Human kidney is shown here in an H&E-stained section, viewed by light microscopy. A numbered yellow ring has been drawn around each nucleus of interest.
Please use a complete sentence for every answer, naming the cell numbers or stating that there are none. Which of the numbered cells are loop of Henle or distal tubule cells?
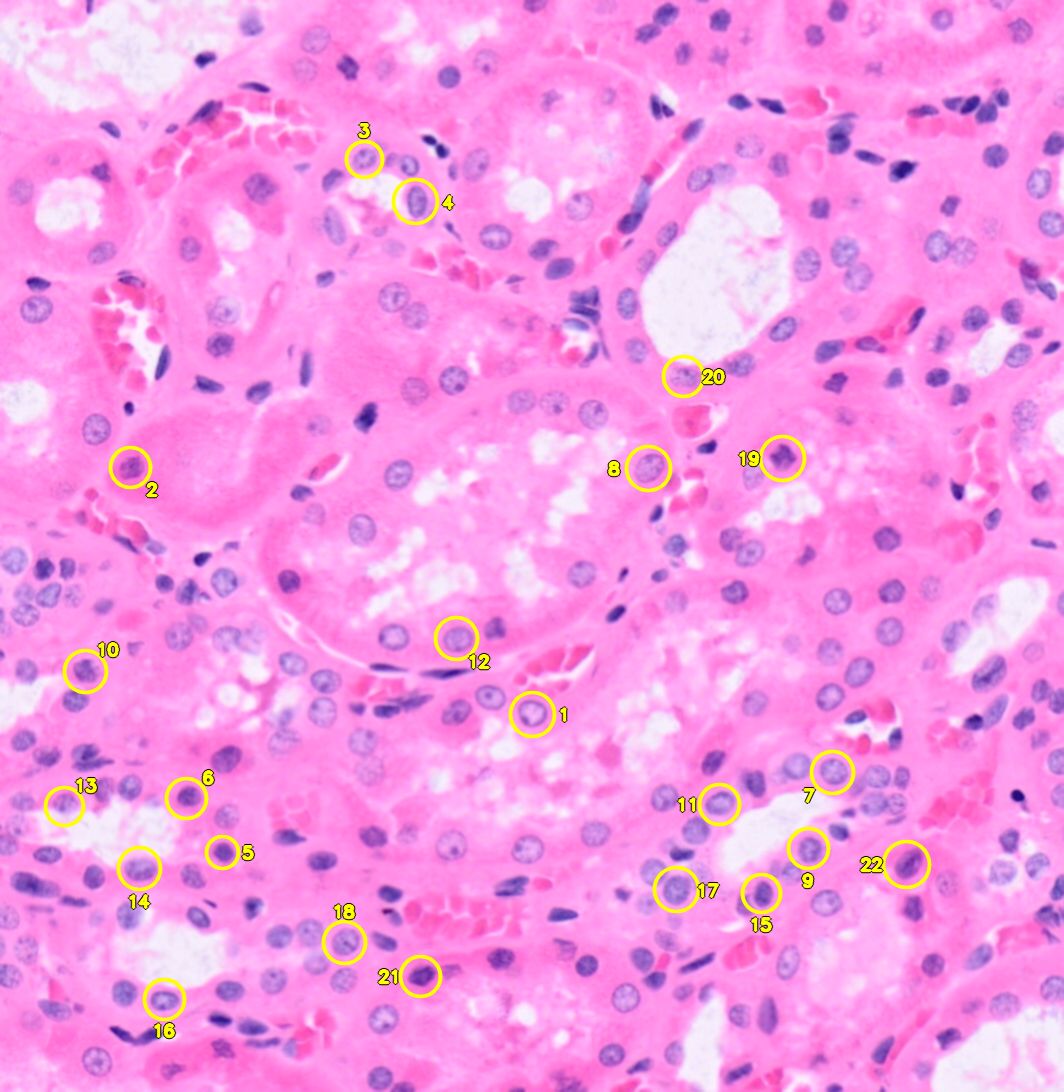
The cells tagged with numbers 5, 6, 10, 13, 14, 16, 18 and 20 are loop of Henle or distal tubule cells.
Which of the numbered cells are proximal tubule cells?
The numbers 1, 2, 8, 12, 19, 21 and 22 in this section indicate proximal tubule cells.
